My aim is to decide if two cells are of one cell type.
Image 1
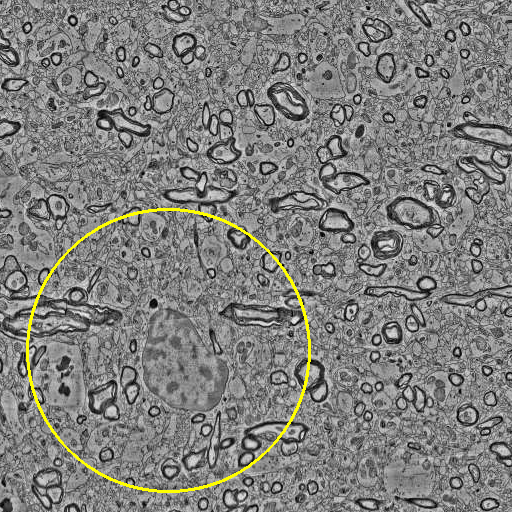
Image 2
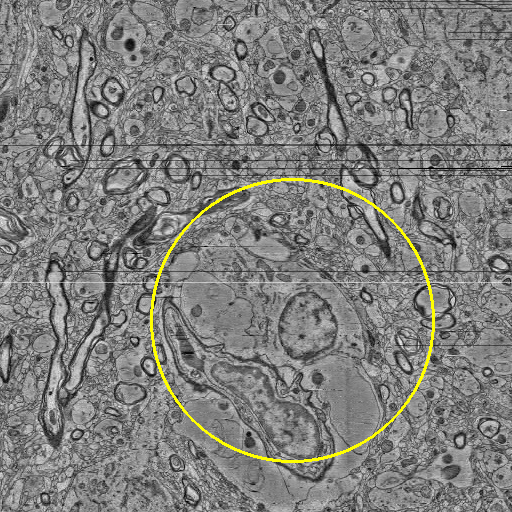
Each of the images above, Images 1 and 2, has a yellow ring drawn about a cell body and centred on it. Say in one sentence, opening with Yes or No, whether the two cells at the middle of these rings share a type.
Yes, in Images 1 and 2 the cells at the middle of the rings share one type.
